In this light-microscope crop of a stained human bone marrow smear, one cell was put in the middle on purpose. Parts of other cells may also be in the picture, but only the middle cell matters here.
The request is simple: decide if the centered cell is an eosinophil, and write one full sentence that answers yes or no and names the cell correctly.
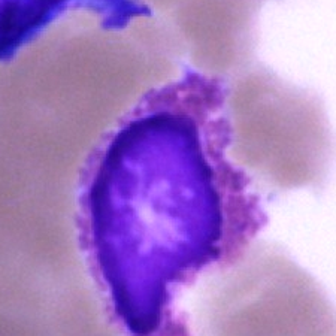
Yes, an eosinophil is the cell positioned in the middle of the field.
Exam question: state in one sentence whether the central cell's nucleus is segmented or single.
Just one compact nuclear mass here, round, oval or kidney-shaped.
